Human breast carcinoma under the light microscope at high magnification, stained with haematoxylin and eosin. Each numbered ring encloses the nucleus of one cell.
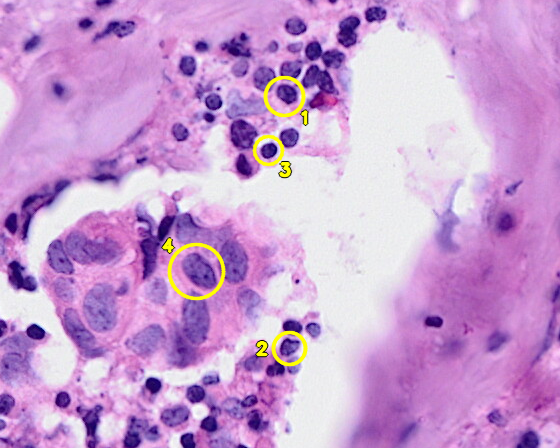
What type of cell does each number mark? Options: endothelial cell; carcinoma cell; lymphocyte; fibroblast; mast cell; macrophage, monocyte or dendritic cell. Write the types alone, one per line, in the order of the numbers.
lymphocyte
lymphocyte
lymphocyte
carcinoma cell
